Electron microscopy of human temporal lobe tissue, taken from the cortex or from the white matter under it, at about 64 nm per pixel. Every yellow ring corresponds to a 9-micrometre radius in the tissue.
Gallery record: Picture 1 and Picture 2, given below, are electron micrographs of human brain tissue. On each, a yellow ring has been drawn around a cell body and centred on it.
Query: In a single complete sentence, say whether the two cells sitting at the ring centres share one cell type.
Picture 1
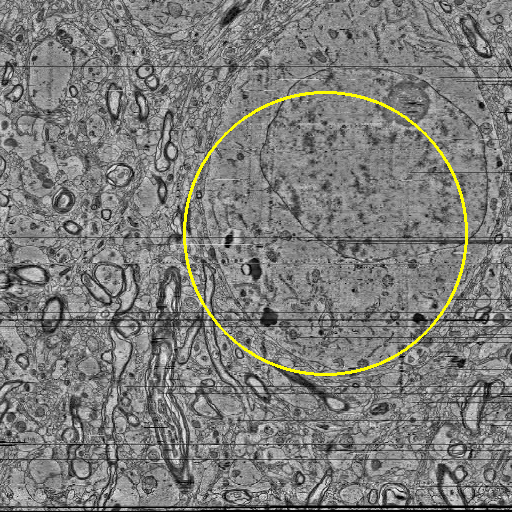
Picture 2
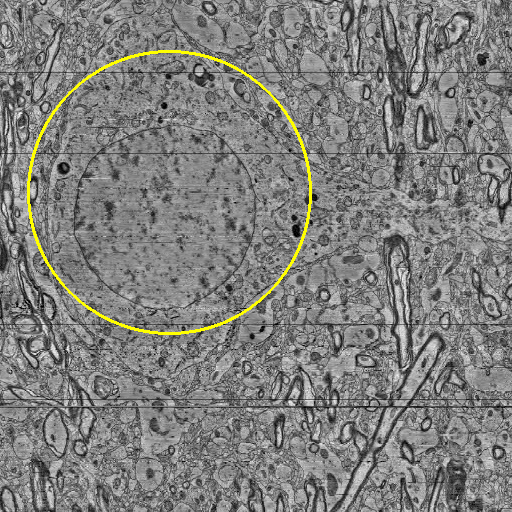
Yes, in both pictures the cell at the ring's centre is of one and the same type.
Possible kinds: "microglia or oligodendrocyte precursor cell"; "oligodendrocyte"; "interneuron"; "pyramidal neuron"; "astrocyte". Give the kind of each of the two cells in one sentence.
Each of the two cells is a pyramidal neuron.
